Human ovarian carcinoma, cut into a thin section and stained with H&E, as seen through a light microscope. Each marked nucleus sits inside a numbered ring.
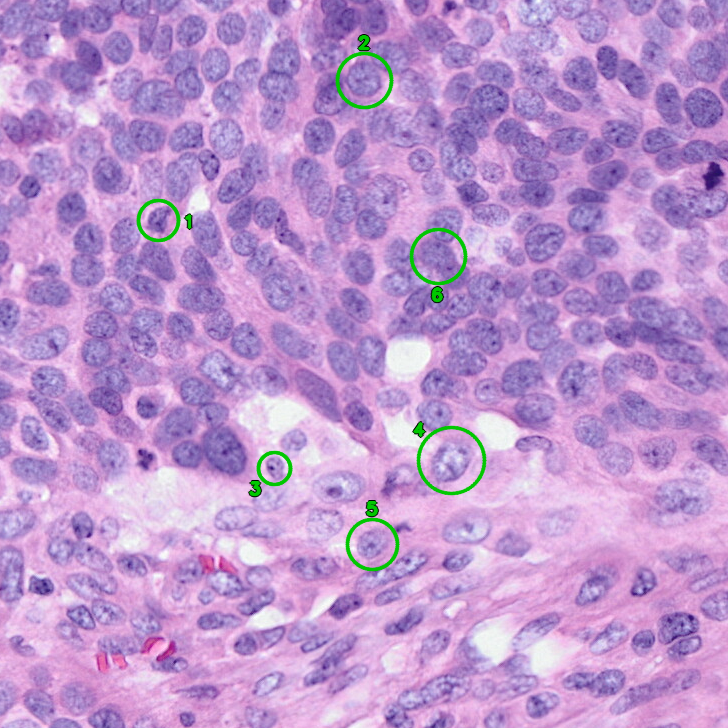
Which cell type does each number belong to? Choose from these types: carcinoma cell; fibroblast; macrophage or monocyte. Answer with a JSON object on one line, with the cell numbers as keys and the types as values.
{"1": "macrophage or monocyte", "2": "carcinoma cell", "3": "macrophage or monocyte", "4": "fibroblast", "5": "fibroblast", "6": "carcinoma cell"}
